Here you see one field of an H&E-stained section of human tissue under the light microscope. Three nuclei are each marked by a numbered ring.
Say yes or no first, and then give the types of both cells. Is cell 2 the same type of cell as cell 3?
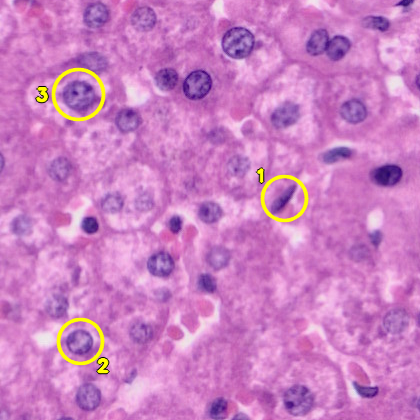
Yes, both are hepatocytes.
